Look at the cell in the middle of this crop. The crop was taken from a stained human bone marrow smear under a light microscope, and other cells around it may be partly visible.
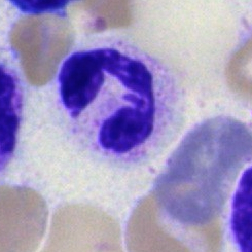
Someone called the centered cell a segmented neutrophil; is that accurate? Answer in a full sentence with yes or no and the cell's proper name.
Yes, centred in the crop is a segmented neutrophil.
